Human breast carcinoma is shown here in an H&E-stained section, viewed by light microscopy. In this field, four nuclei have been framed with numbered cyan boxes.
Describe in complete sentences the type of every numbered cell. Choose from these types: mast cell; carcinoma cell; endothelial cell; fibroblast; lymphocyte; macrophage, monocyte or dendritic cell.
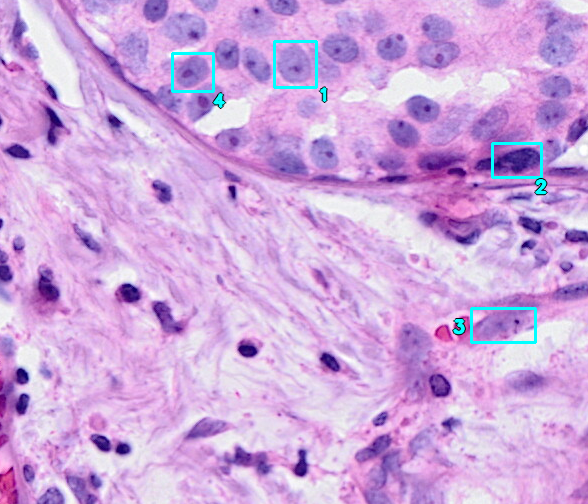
Cells 1, 2 and 4 are carcinoma cells. Cell 3 is an endothelial cell.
